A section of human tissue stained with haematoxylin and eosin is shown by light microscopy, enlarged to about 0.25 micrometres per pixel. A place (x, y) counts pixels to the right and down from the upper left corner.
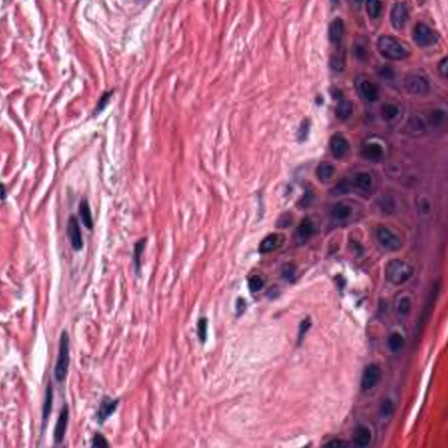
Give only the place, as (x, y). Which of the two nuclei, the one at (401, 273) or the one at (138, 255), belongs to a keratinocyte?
(401, 273)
